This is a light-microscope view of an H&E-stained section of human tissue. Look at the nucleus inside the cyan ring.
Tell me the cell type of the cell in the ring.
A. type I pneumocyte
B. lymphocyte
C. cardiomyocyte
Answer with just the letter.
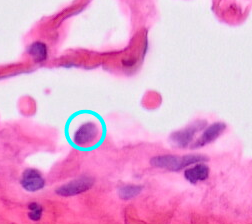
A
